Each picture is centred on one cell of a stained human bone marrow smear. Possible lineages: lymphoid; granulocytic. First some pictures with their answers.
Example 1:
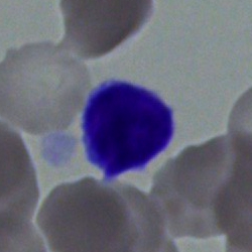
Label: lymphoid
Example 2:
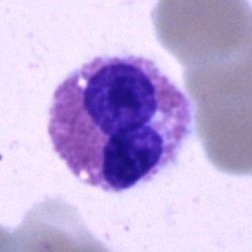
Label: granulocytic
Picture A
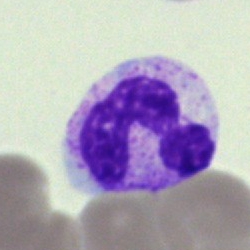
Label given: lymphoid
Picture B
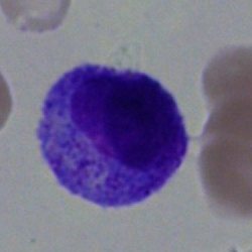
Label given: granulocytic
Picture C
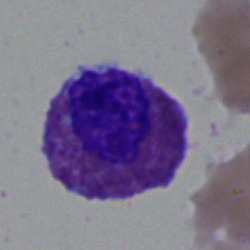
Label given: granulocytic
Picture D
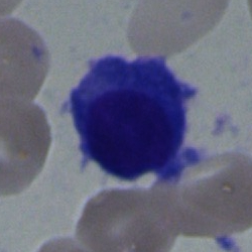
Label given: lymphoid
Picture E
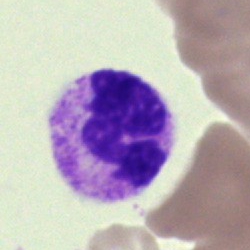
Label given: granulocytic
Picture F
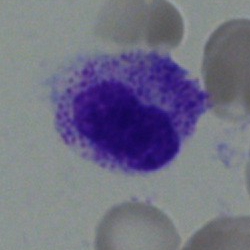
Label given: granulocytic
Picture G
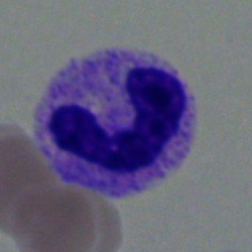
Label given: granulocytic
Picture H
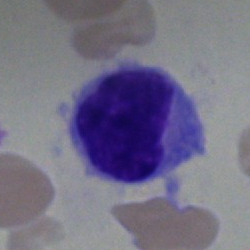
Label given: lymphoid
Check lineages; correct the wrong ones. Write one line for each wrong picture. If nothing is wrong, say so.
A: change lymphoid to granulocytic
